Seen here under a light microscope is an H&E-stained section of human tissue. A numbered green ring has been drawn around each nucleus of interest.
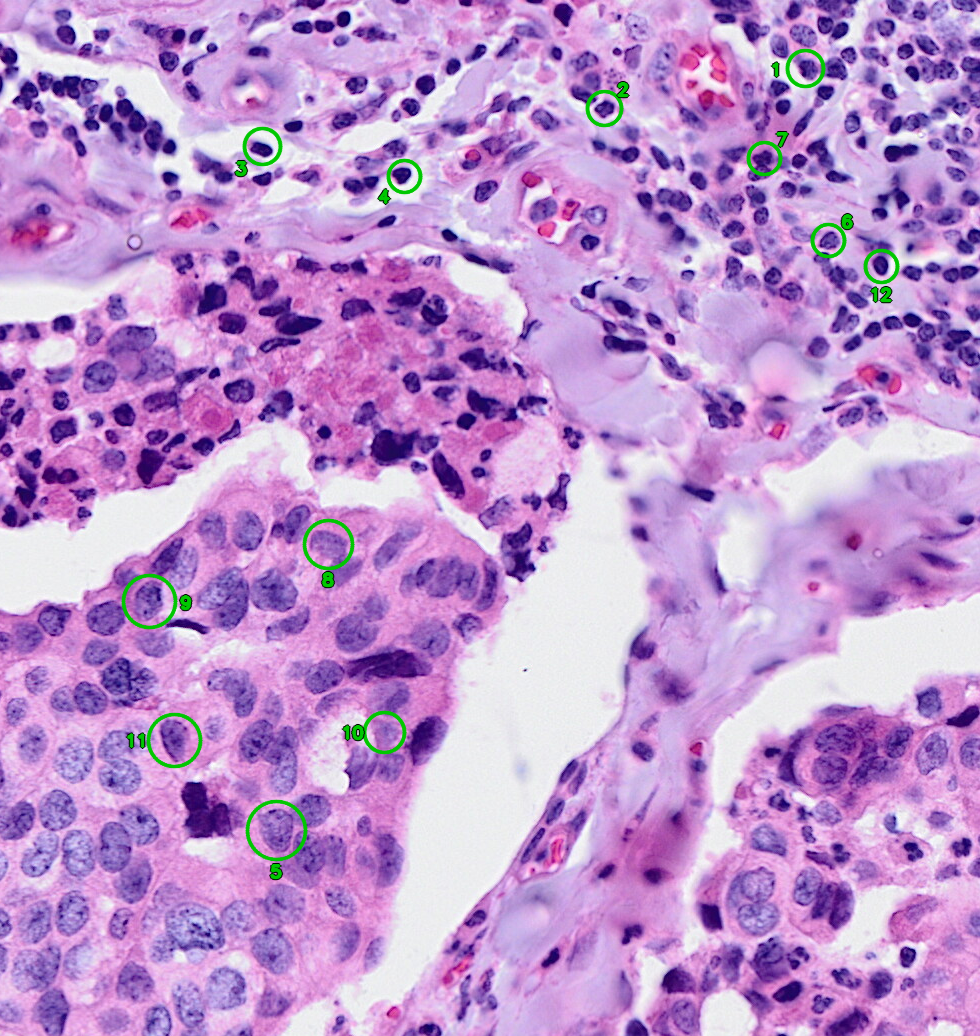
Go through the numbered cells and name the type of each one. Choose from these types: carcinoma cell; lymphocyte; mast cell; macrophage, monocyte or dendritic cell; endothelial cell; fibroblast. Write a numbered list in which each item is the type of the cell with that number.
1. lymphocyte
2. lymphocyte
3. lymphocyte
4. lymphocyte
5. carcinoma cell
6. lymphocyte
7. lymphocyte
8. carcinoma cell
9. carcinoma cell
10. carcinoma cell
11. carcinoma cell
12. lymphocyte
